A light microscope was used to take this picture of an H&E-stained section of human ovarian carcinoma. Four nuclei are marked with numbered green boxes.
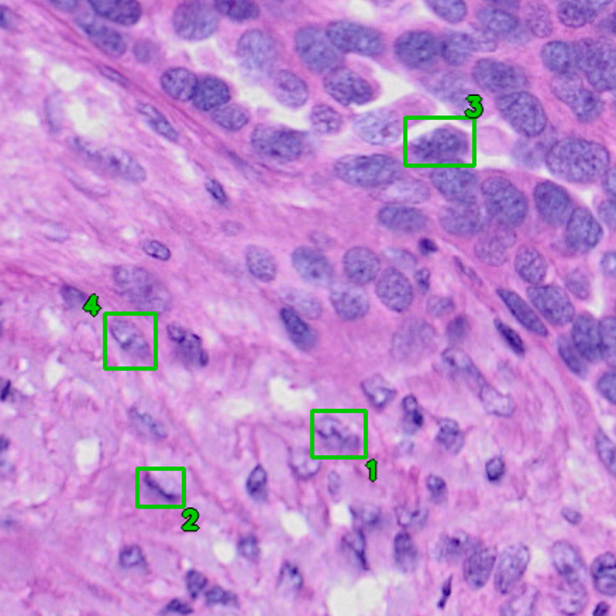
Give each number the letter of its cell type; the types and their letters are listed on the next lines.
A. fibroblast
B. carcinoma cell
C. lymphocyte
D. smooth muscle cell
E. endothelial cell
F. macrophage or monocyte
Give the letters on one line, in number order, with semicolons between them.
A; A; B; A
